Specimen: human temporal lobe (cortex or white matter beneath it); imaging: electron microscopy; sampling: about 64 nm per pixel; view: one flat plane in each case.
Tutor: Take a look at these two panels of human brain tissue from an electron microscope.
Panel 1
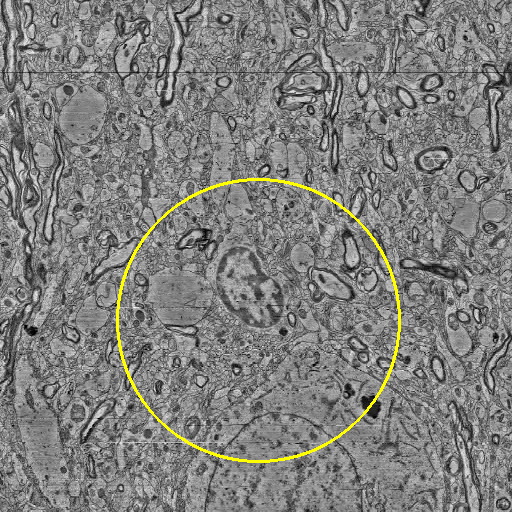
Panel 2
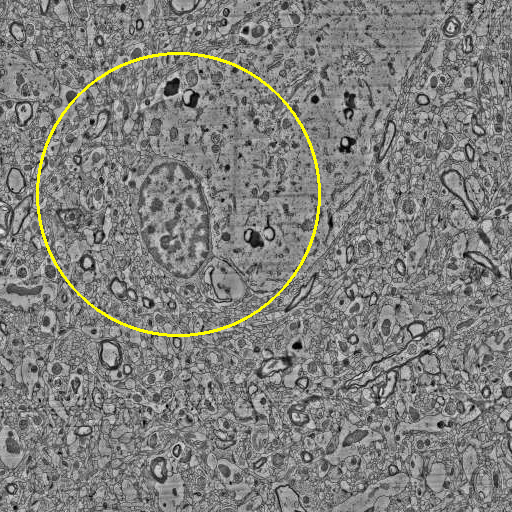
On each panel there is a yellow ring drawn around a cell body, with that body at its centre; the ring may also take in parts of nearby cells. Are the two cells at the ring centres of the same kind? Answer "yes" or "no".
no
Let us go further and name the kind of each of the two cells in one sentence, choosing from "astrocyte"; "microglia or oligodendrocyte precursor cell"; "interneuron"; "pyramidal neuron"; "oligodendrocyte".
The ring of the first picture is on a microglial cell or oligodendrocyte precursor cell, the ring of the second on an oligodendrocyte.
